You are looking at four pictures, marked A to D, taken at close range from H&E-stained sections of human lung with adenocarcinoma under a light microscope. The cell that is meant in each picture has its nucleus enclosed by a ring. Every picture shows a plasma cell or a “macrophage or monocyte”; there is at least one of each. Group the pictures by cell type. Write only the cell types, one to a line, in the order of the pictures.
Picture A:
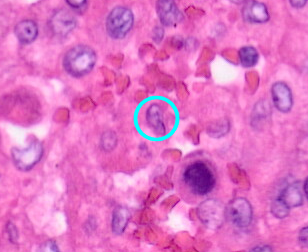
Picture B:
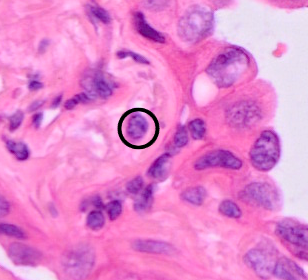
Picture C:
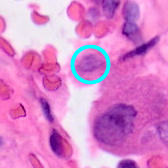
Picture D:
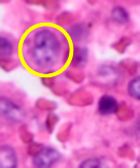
macrophage or monocyte
plasma cell
macrophage or monocyte
macrophage or monocyte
